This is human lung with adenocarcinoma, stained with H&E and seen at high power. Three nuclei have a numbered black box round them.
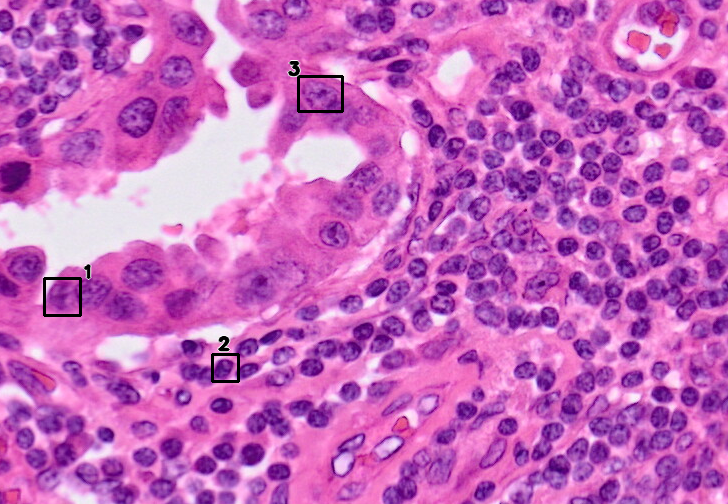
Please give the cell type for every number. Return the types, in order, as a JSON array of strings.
["carcinoma cell", "lymphocyte", "carcinoma cell"]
